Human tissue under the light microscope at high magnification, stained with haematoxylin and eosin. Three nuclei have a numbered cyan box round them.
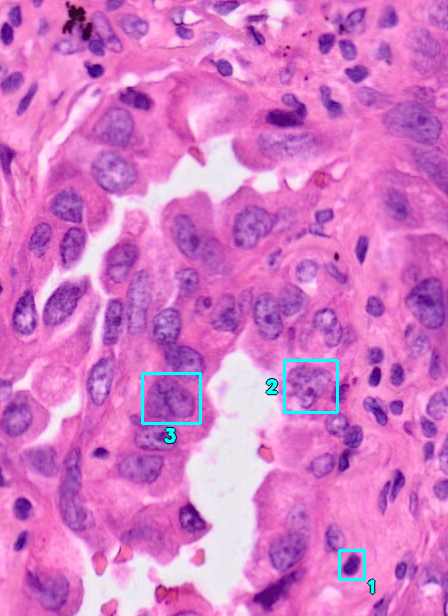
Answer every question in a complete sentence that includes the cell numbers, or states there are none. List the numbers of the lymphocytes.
The numbered cell that is a lymphocyte is cell 1, and it is the only one.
